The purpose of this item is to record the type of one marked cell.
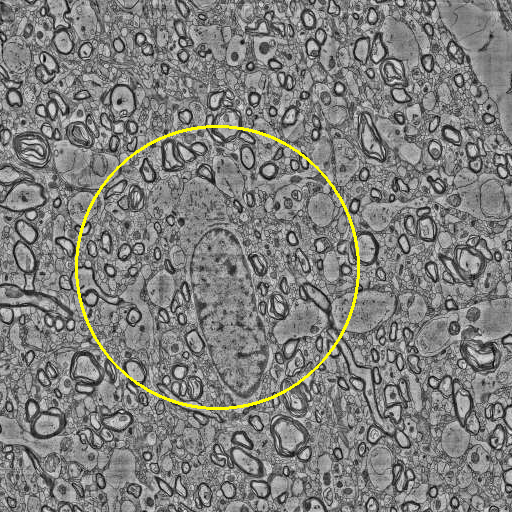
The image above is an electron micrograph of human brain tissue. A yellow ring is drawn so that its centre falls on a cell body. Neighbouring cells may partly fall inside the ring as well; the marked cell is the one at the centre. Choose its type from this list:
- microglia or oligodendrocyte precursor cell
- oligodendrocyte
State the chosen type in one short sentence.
What the ring marks here is a microglial cell or oligodendrocyte precursor cell.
